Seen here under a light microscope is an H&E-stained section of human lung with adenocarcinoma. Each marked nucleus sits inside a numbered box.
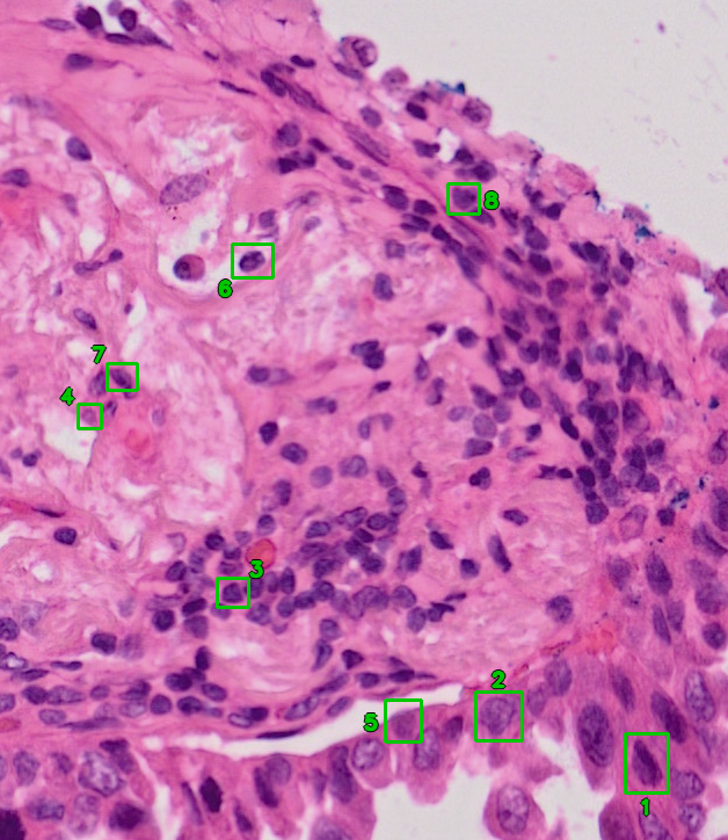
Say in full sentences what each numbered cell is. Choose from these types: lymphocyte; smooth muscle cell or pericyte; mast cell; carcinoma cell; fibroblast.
Cell 1 is a carcinoma cell, cell 2 is a carcinoma cell, cell 3 is a lymphocyte, cell 4 is a smooth muscle cell or pericyte, cell 5 is a carcinoma cell, cell 6 is a lymphocyte, cell 7 is a smooth muscle cell or pericyte and cell 8 is a lymphocyte.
